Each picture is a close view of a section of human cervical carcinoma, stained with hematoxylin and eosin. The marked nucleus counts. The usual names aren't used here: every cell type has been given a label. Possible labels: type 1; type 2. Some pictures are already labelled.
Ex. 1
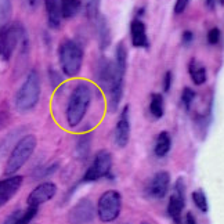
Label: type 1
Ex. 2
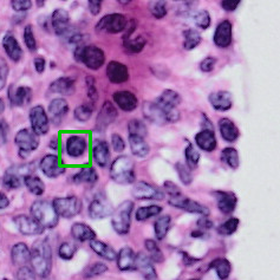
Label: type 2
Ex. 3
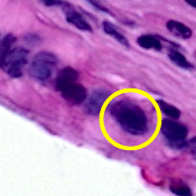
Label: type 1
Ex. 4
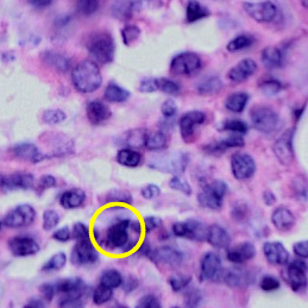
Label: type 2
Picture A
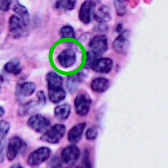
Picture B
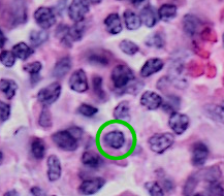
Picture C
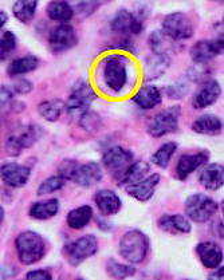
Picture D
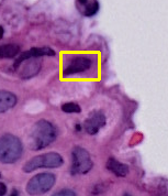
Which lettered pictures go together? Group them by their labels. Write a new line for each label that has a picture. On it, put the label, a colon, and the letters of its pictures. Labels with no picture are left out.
type 1: D
type 2: A, B, C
